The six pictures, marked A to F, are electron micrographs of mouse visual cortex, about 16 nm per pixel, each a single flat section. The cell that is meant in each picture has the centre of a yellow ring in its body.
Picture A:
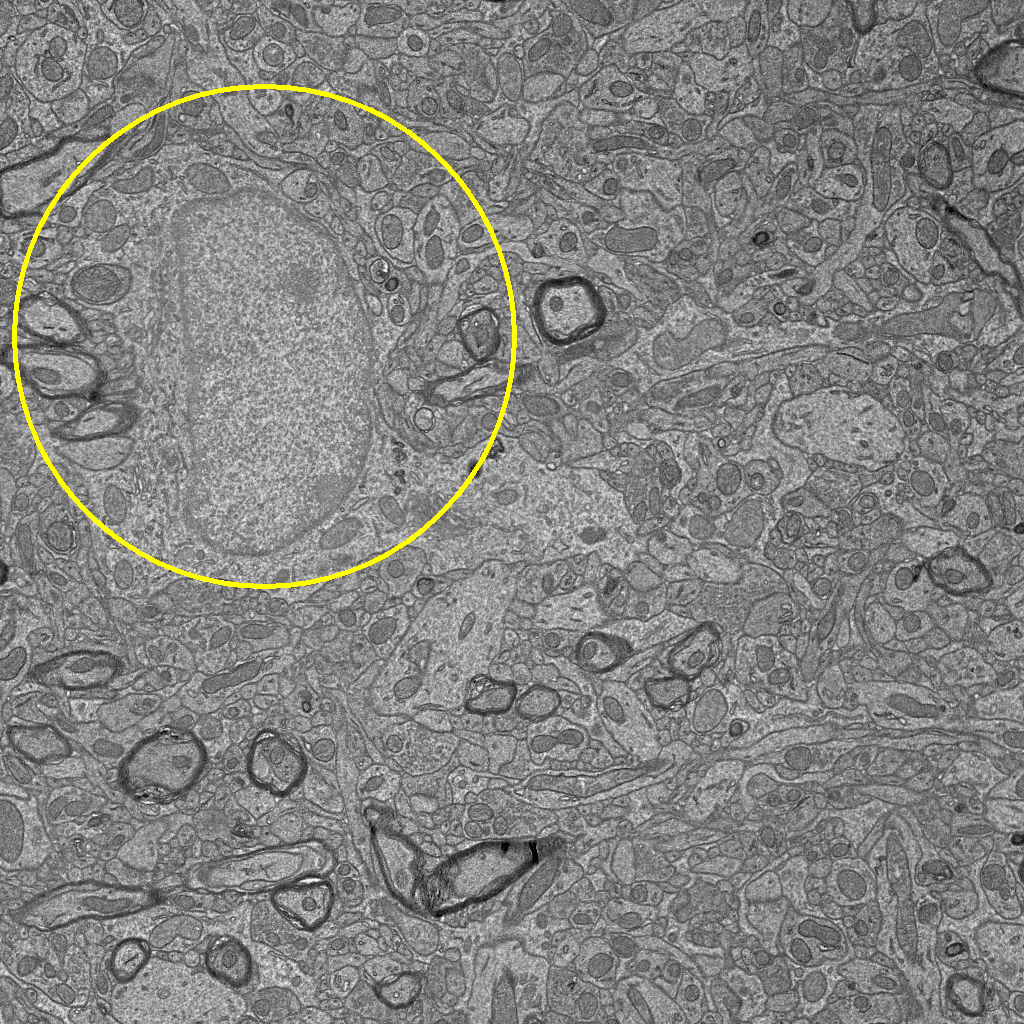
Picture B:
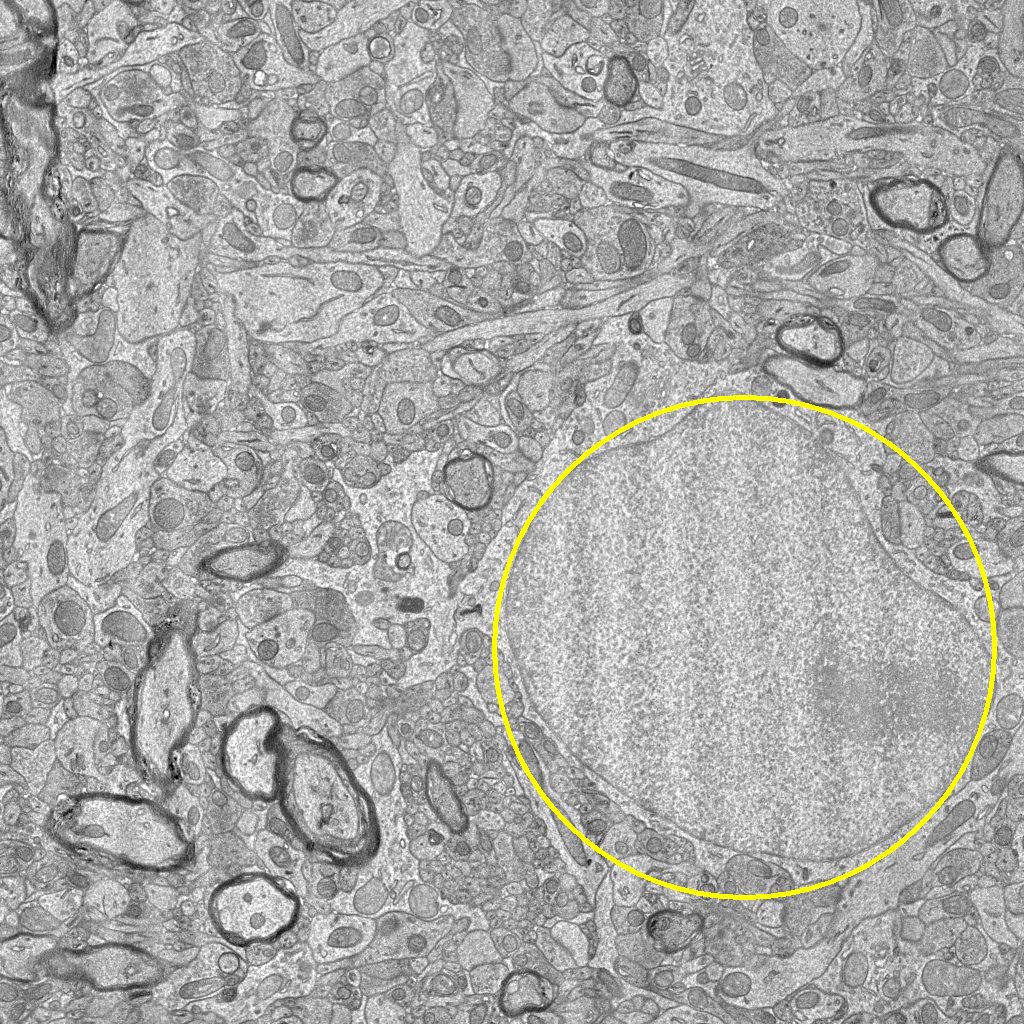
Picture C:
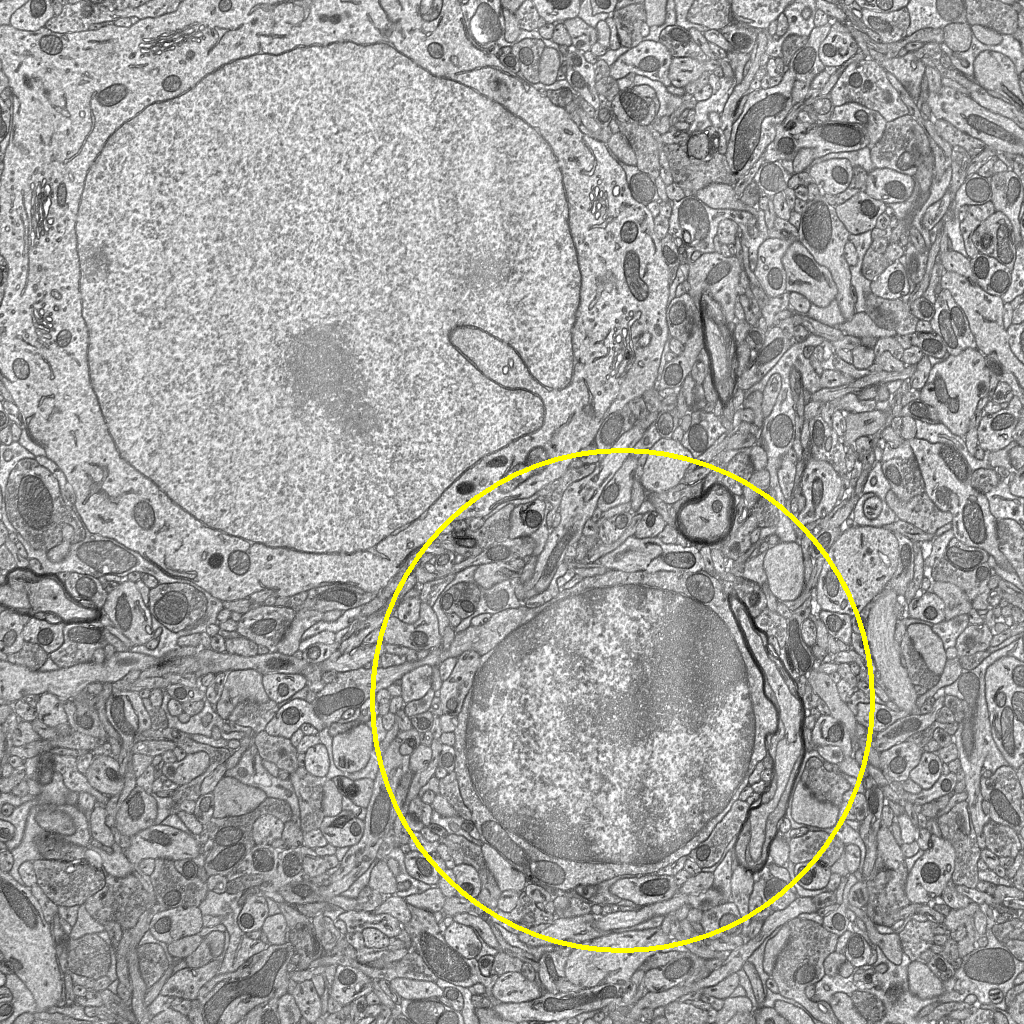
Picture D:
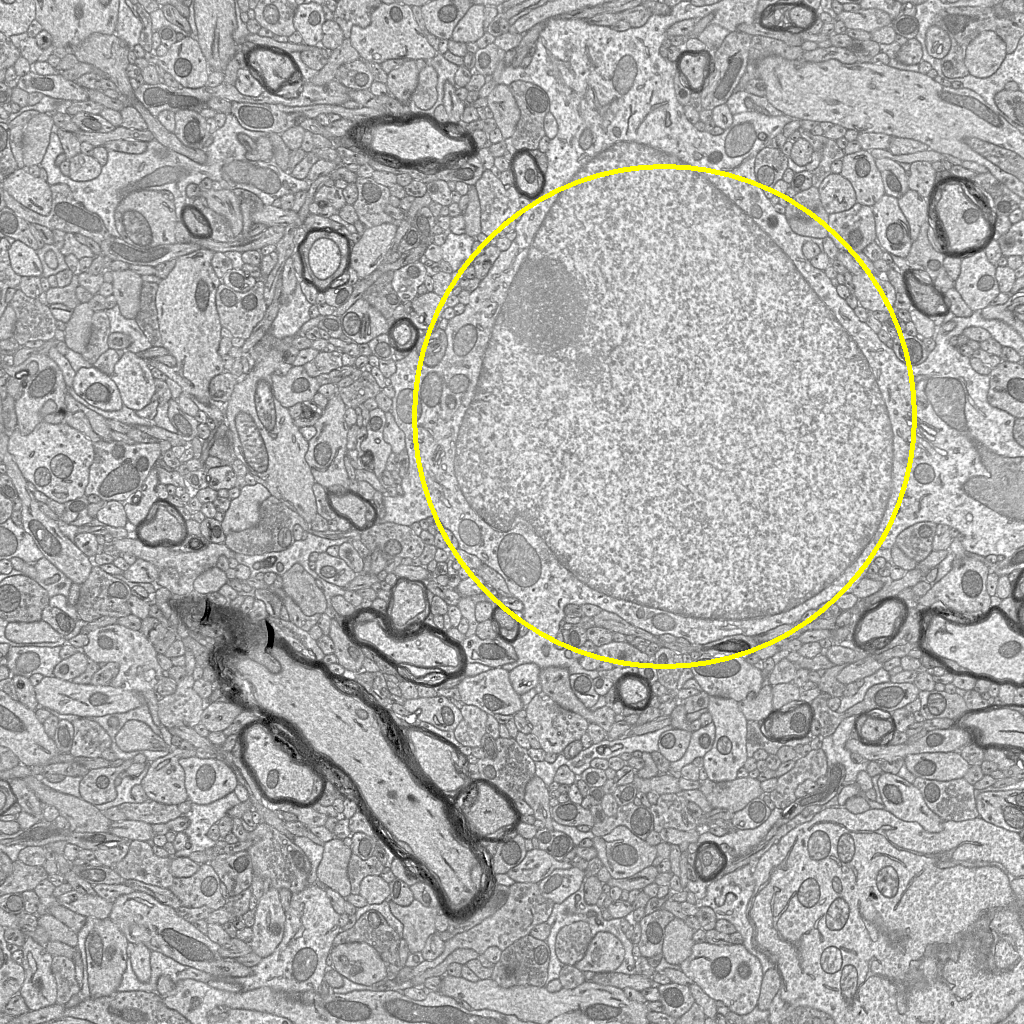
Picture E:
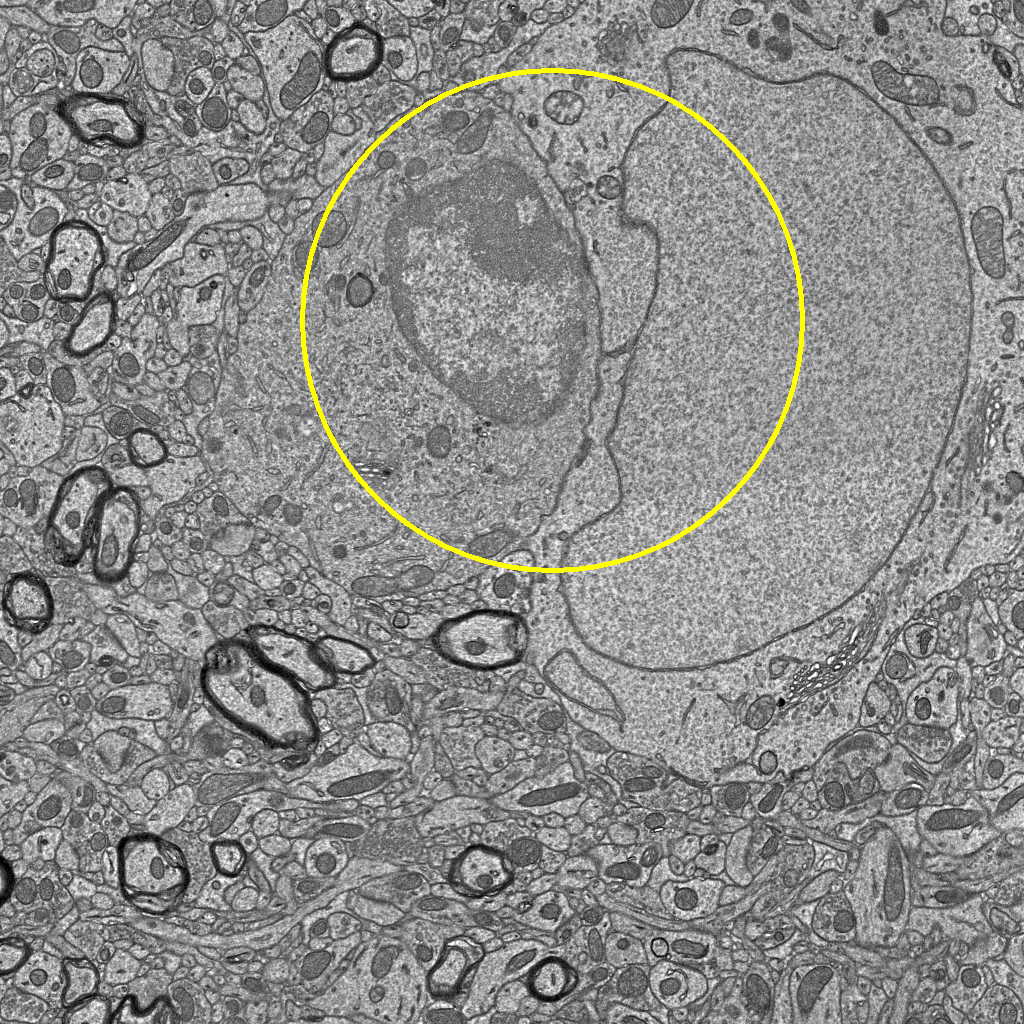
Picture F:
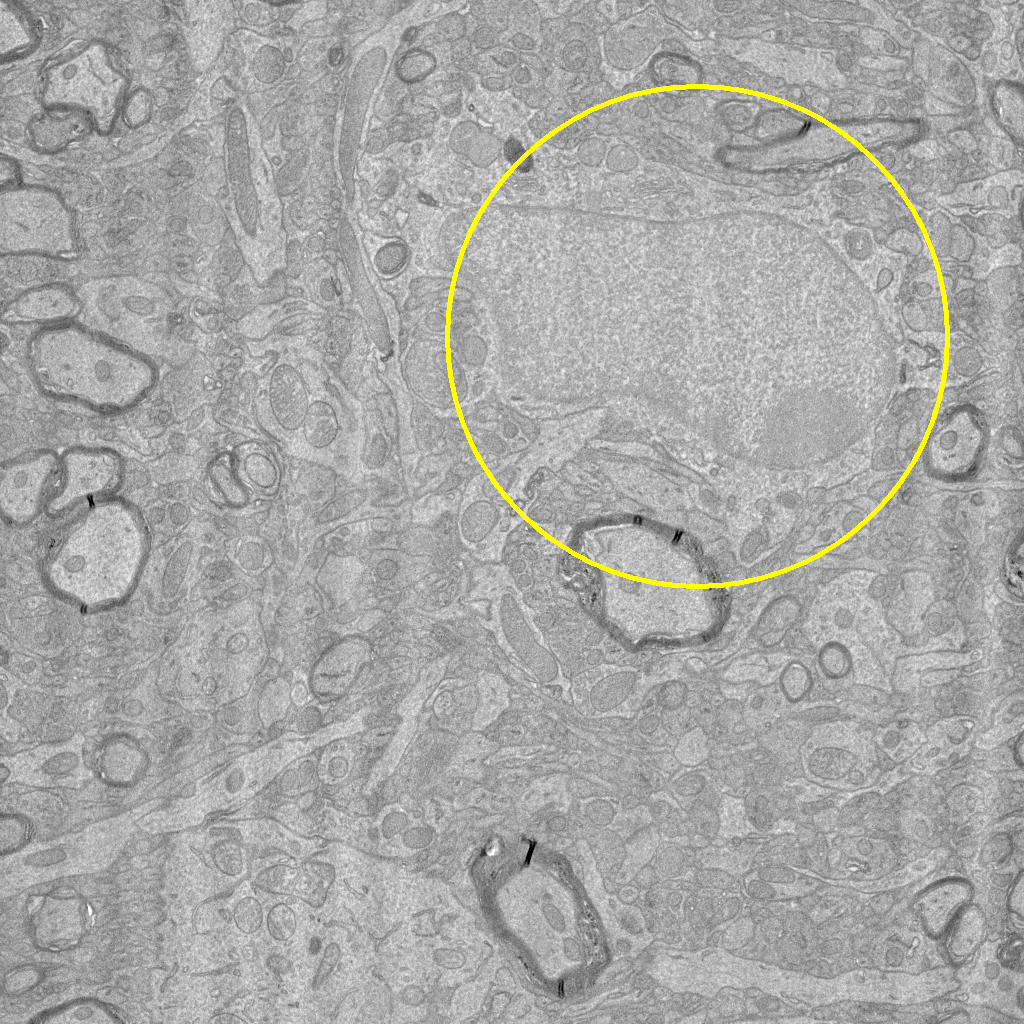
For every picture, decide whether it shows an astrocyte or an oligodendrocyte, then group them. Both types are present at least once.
Pictures A, B, D and F show astrocytes, and pictures C and E show oligodendrocytes.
